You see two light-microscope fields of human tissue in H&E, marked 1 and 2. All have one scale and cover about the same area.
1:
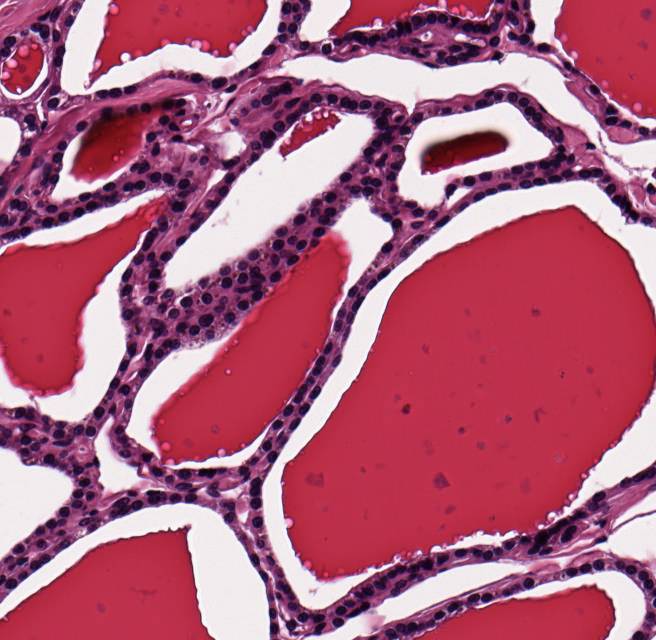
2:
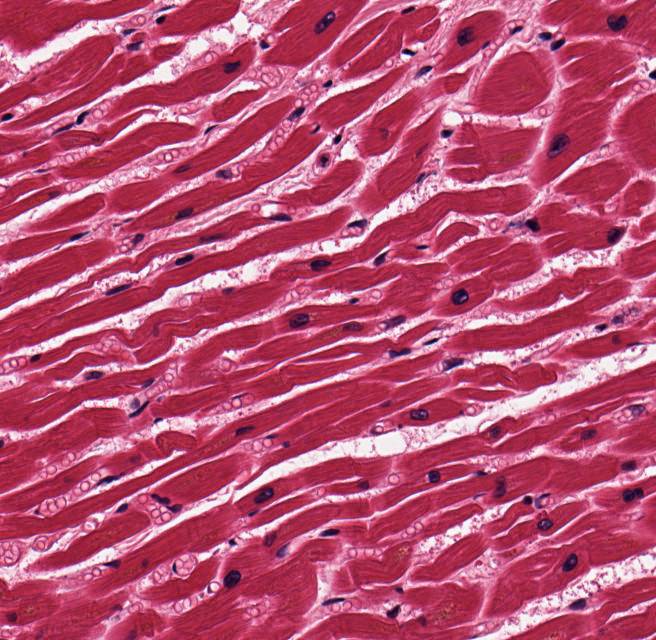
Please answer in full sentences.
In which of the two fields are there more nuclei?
There are more nuclei in field 1.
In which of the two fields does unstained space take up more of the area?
More of field 1 is empty and white.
